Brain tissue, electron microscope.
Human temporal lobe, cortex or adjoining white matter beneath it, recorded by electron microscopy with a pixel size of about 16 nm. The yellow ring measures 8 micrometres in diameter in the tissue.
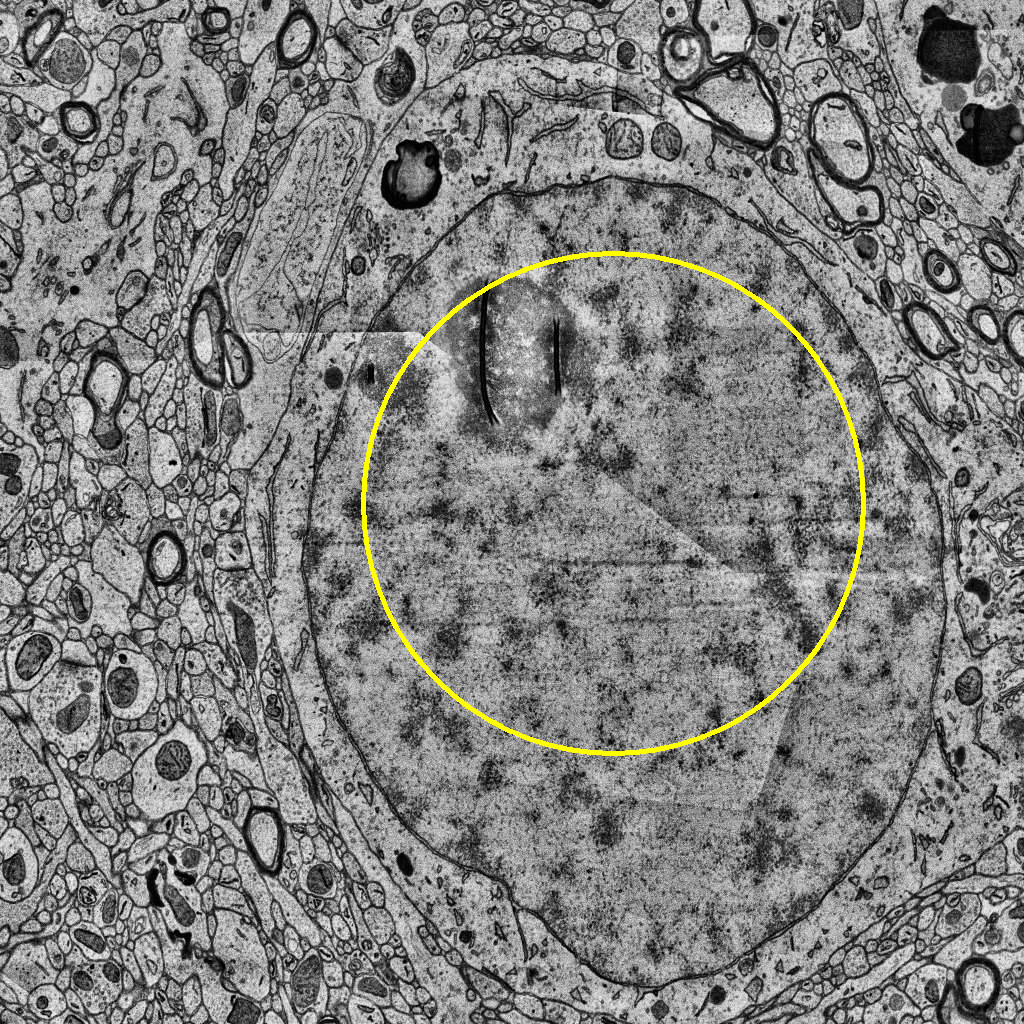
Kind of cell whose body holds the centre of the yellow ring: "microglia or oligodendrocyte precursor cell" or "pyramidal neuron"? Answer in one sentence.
The ring's centre falls on a pyramidal neuron.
